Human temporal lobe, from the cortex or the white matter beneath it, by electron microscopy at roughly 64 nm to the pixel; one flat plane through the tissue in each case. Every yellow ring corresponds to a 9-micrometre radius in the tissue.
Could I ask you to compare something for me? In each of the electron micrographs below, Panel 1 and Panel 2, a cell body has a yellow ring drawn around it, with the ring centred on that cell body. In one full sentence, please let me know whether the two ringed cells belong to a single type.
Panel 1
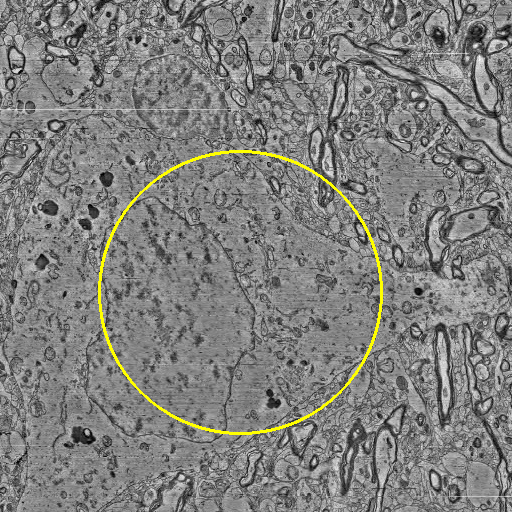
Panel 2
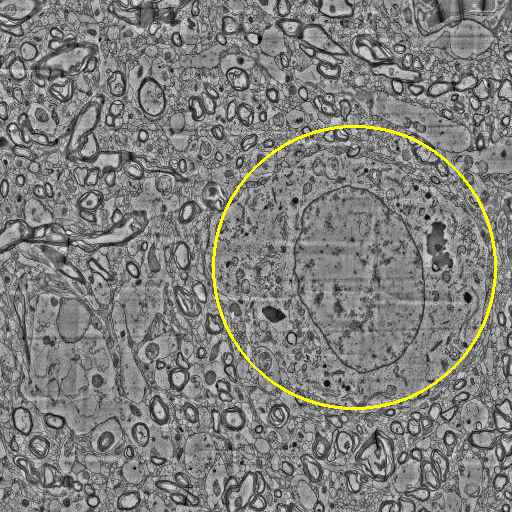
Yes, the two cells at the centres of the rings are of one type.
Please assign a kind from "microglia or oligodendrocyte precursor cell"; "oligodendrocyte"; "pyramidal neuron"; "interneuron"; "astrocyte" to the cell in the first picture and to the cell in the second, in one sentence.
Each of the two pictures has a pyramidal neuron at the ring centre.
